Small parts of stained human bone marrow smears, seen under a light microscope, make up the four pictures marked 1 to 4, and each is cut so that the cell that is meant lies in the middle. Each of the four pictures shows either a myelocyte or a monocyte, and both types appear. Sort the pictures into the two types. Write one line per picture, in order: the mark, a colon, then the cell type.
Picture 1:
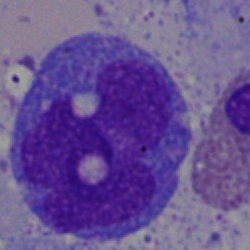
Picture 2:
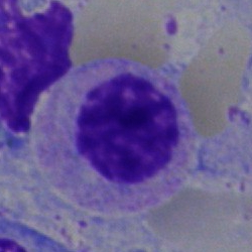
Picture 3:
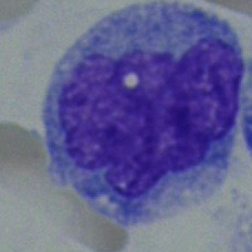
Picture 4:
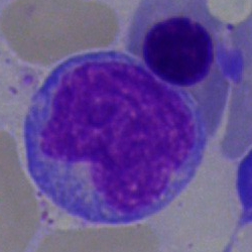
1: monocyte
2: myelocyte
3: monocyte
4: monocyte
